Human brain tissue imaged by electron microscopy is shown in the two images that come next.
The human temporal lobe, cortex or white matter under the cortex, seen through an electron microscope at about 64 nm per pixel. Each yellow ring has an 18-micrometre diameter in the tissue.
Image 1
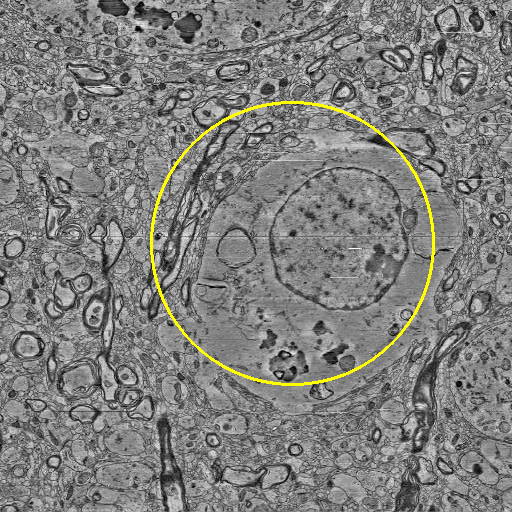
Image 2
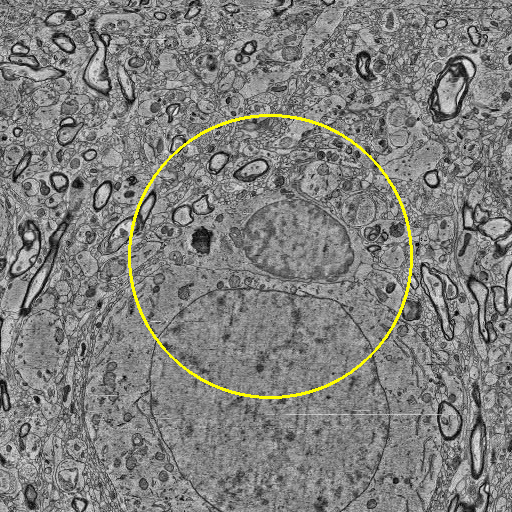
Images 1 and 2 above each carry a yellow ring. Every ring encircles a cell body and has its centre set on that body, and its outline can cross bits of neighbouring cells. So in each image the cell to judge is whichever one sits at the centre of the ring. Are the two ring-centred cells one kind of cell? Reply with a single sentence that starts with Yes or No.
No, in Image 1 and Image 2 the cells at the centres of their rings fall into two types.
